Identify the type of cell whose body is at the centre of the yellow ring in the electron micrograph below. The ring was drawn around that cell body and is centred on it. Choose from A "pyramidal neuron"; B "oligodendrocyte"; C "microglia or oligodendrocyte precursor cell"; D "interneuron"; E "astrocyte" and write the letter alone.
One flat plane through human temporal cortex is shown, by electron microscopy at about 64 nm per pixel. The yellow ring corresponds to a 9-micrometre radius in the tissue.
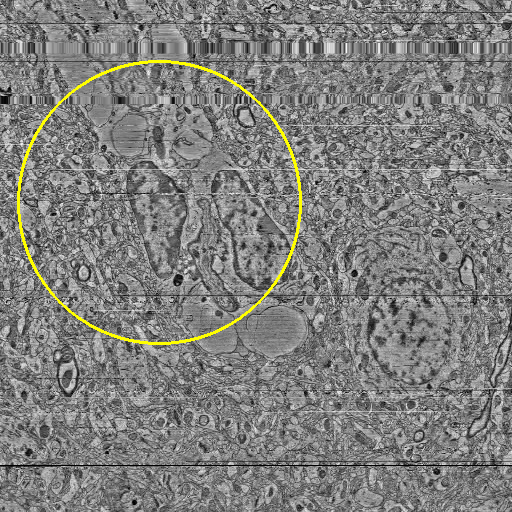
C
